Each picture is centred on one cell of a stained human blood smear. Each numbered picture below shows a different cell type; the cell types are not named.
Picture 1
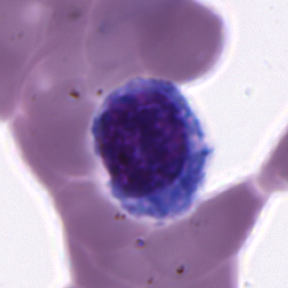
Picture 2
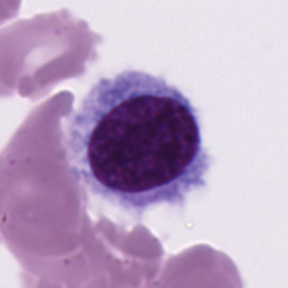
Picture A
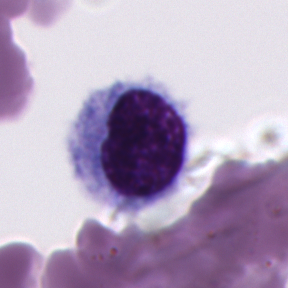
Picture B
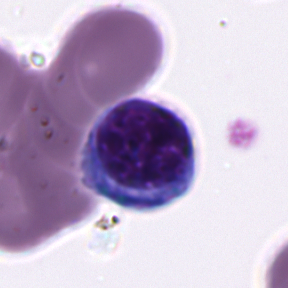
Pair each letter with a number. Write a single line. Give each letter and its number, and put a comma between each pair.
A 2, B 1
